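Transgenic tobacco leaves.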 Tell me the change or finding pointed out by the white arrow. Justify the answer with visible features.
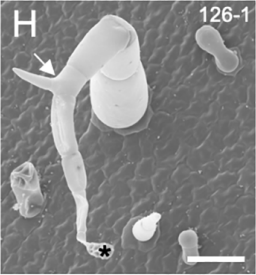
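A short pointed arm projects sideways from a segmented hair at the arrow. On this evidence: abnormal branching.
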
